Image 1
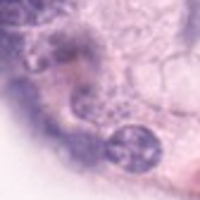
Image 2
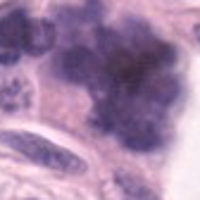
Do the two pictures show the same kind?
No: a cytotrophoblast, then a syncytial knot.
